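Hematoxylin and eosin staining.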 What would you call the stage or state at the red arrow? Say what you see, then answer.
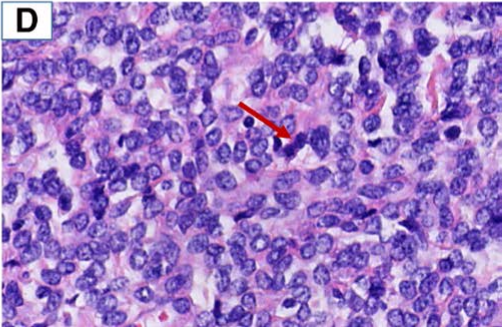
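The marked cell has dark, condensed, clumped chromatin. It lacks the open nuclear outline of the surrounding nuclei.
Answer: Mitotic cells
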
